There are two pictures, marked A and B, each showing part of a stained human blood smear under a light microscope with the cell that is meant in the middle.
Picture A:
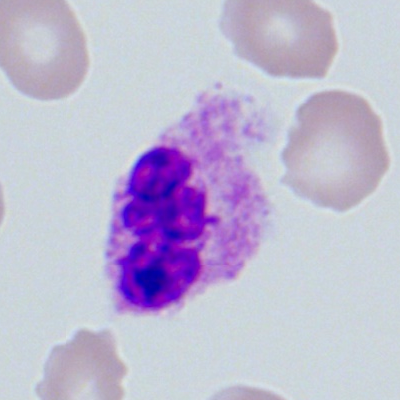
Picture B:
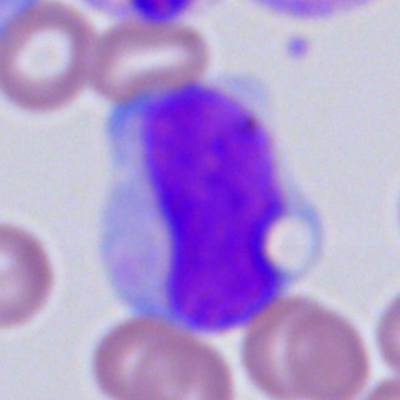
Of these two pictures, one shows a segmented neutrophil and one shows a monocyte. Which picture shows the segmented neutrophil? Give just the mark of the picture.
A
